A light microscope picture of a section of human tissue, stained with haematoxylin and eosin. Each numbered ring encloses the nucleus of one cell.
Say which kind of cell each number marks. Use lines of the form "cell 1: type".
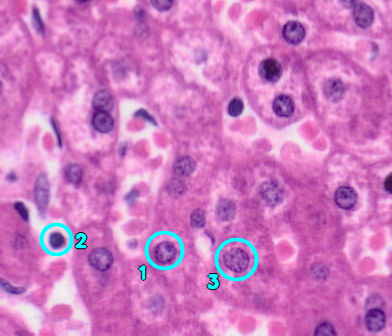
cell 1: hepatocyte
cell 2: lymphocyte
cell 3: hepatocyte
